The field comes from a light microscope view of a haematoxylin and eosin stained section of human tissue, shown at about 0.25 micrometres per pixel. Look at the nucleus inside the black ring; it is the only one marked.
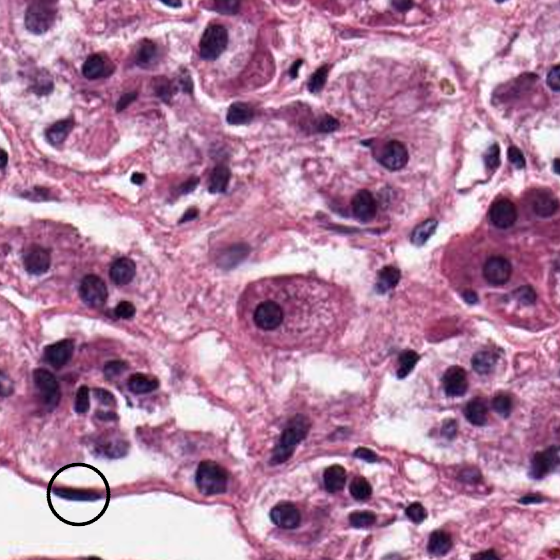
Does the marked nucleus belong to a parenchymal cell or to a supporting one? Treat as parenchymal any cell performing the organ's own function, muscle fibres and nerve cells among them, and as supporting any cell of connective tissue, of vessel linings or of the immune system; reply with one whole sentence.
The marked nucleus is identified as belonging to a supporting cell.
